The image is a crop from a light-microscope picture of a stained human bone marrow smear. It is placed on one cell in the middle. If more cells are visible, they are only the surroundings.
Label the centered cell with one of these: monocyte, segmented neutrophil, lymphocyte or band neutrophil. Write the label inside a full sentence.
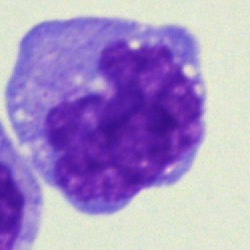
The cell in the middle of the field of view is a monocyte.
